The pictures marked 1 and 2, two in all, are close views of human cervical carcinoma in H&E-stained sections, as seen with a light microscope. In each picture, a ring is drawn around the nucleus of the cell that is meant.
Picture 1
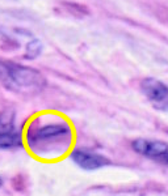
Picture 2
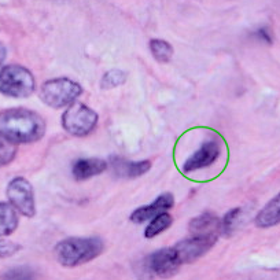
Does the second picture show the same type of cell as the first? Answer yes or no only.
no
